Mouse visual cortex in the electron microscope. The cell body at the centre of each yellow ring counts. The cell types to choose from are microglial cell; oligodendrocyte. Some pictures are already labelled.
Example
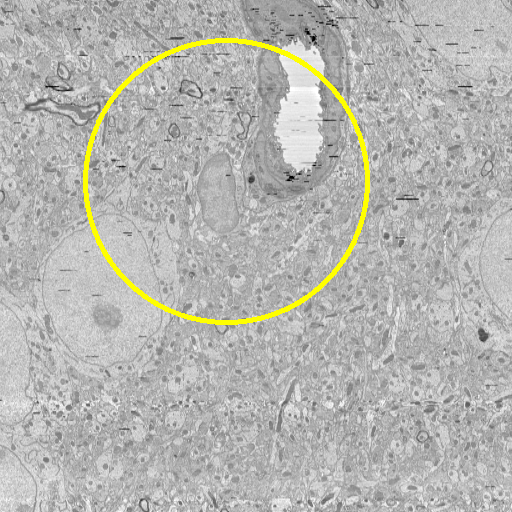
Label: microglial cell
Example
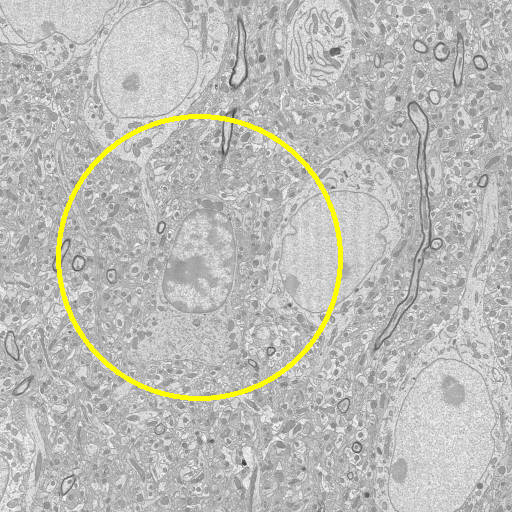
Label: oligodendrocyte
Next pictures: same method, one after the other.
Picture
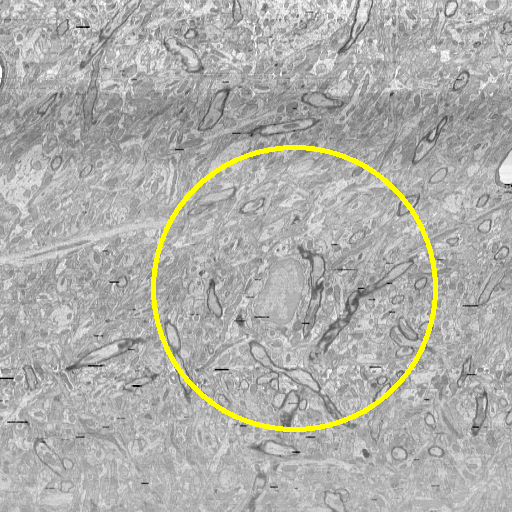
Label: microglial cell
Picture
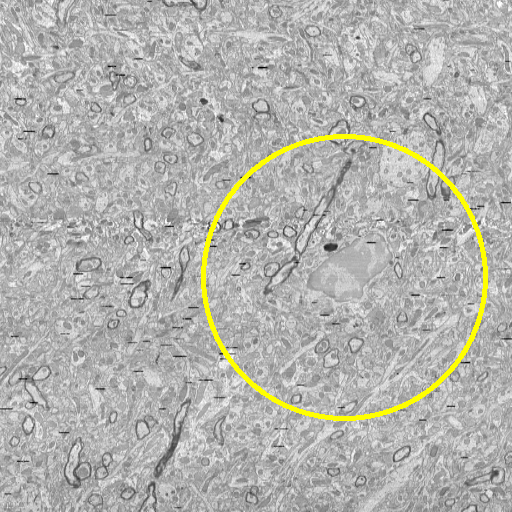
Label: microglial cell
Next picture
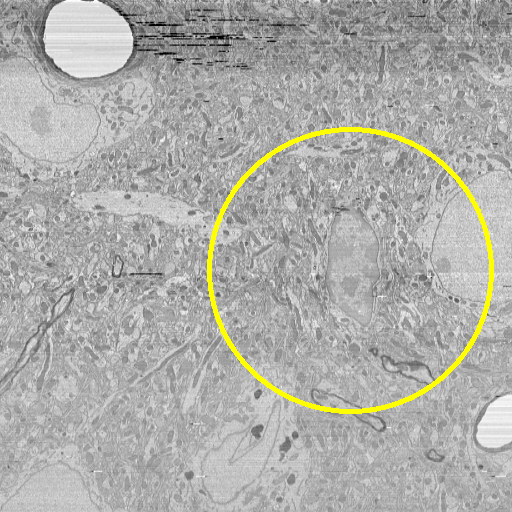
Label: microglial cell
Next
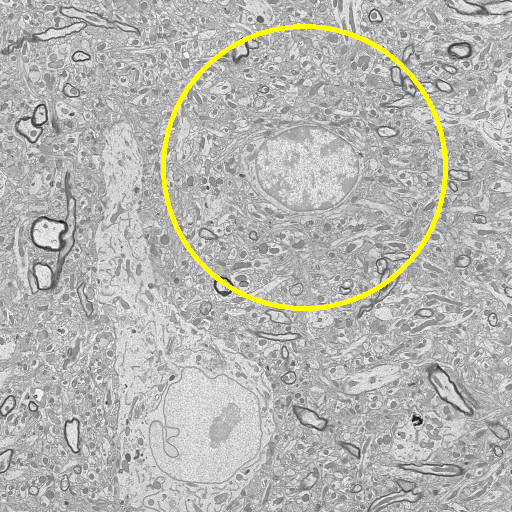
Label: oligodendrocyte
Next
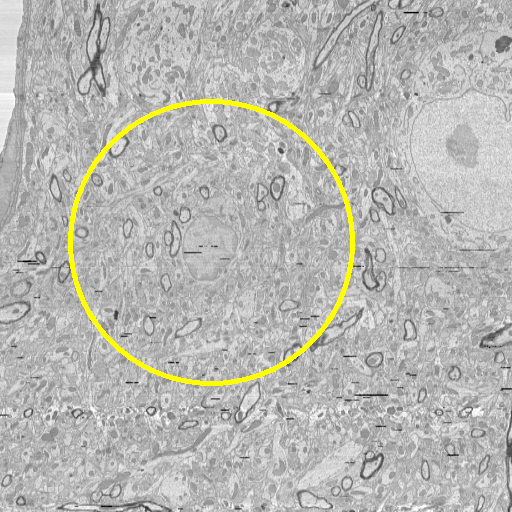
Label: microglial cell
